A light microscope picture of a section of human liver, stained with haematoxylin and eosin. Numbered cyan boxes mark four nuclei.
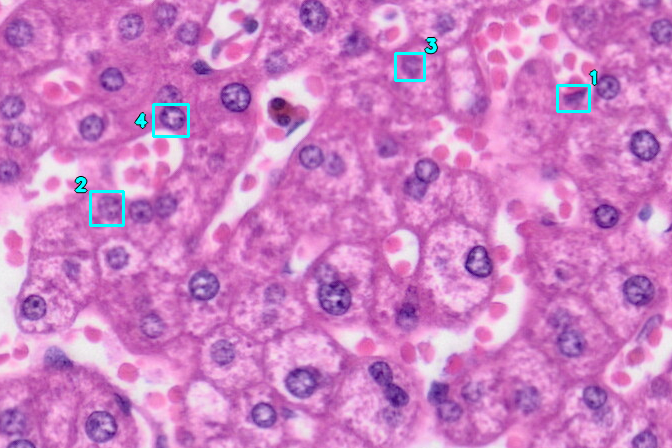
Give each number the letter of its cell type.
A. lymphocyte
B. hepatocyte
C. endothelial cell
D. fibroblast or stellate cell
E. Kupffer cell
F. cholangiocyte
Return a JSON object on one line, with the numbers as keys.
{"1": "C", "2": "B", "3": "B", "4": "B"}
